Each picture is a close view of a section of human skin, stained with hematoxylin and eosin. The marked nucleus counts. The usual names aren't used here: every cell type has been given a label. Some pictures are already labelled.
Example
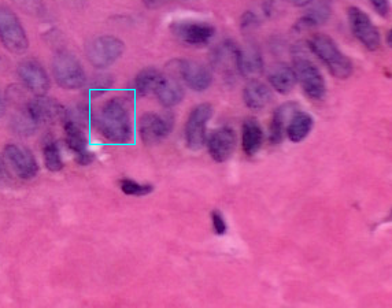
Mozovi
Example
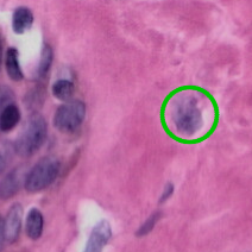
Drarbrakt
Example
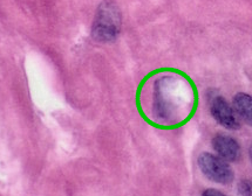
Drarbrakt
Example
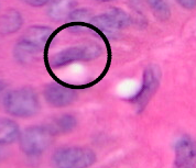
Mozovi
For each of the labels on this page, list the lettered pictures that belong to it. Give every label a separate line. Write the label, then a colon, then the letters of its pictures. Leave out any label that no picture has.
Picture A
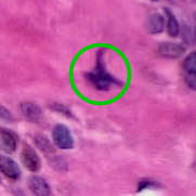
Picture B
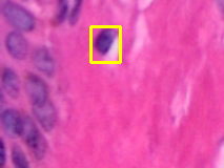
Drarbrakt: A, B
